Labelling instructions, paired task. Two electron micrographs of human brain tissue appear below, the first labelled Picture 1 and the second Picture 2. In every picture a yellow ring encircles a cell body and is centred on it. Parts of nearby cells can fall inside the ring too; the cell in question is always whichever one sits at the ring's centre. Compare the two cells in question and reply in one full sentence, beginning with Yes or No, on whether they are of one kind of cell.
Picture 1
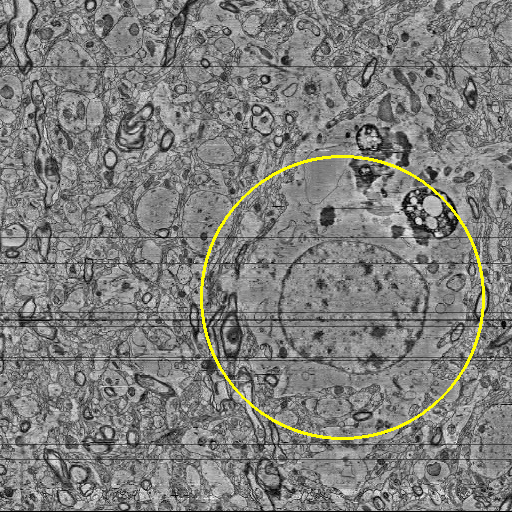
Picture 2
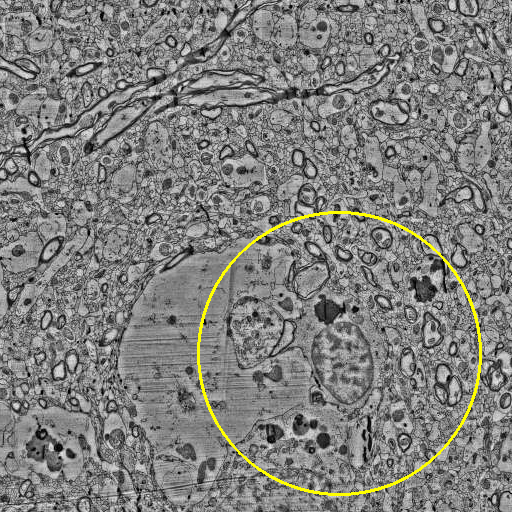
No, the two cells at the ring centres in Picture 1 and Picture 2 are of two kinds.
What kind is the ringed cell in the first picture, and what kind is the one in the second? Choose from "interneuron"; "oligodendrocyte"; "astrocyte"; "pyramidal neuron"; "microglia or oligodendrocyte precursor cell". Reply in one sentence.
The first cell is an astrocyte; the second is an oligodendrocyte.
